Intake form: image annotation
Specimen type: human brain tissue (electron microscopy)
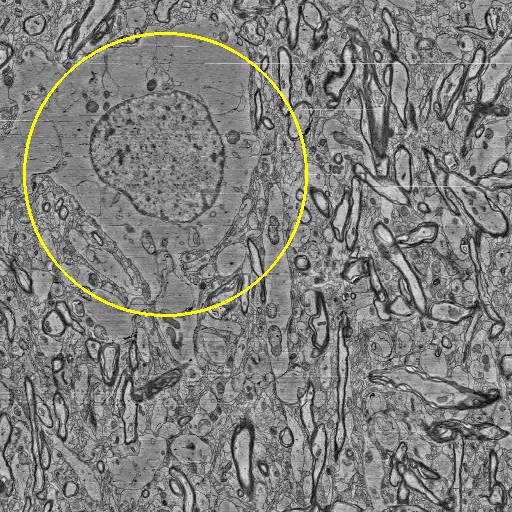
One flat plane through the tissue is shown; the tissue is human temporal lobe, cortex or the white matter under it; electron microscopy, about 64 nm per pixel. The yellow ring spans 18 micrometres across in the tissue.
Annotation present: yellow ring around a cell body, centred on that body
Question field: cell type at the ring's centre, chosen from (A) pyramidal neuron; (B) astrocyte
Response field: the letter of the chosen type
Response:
B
